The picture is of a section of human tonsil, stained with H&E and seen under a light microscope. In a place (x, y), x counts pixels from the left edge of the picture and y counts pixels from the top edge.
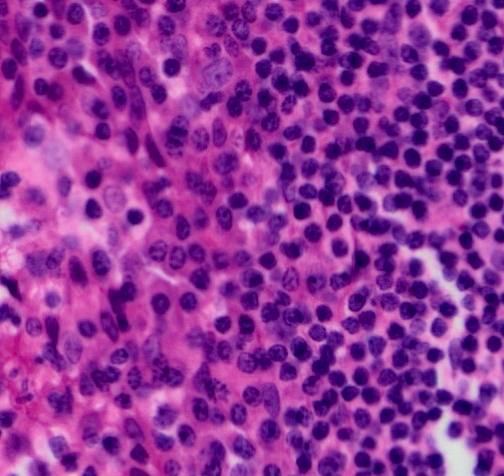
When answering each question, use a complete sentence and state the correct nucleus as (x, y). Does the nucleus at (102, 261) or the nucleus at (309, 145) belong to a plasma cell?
It is the nucleus at (102, 261) that forms part of a plasma cell.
